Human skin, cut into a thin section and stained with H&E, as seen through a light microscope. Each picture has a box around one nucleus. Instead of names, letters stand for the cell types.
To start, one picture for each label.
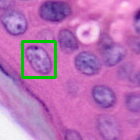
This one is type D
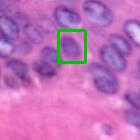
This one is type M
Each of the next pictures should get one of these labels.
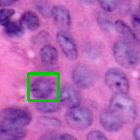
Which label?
type M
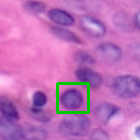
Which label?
type M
